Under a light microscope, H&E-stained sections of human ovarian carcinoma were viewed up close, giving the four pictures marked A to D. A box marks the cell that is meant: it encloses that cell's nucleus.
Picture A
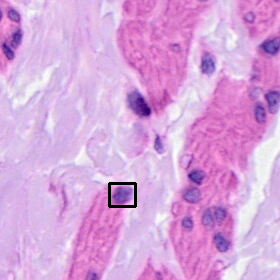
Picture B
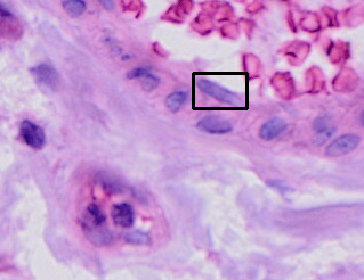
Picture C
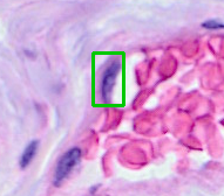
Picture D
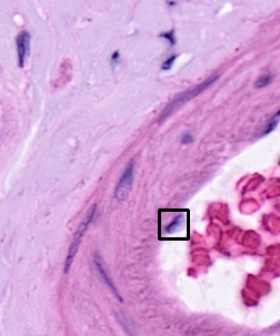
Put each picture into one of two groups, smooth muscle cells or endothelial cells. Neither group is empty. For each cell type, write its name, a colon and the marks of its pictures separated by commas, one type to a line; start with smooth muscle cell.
smooth muscle cell: A
endothelial cell: B, C, D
